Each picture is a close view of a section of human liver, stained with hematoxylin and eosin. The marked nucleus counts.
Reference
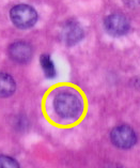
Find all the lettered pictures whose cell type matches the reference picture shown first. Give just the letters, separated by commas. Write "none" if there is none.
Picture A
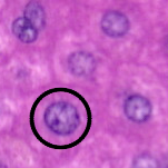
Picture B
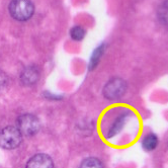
A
